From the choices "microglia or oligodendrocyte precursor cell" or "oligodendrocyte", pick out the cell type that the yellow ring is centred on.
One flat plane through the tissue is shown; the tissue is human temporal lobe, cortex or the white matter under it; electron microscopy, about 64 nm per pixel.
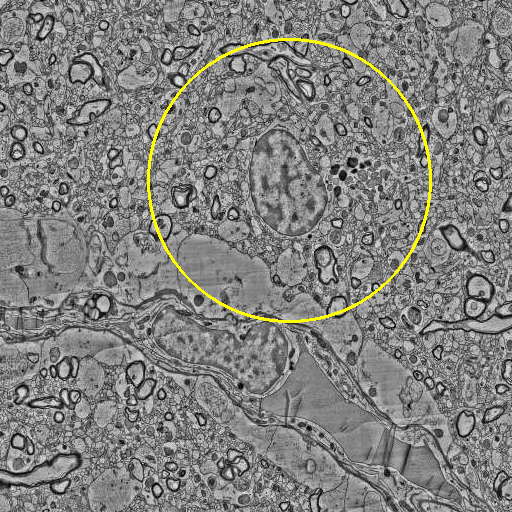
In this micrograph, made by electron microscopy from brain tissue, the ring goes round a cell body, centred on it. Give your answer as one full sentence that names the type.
The yellow ring is centred on a microglial cell or oligodendrocyte precursor cell, whose cell body it encircles in the picture.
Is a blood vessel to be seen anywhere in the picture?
Yes, the image shows a blood vessel.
